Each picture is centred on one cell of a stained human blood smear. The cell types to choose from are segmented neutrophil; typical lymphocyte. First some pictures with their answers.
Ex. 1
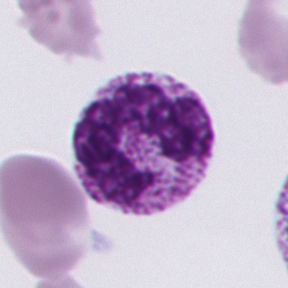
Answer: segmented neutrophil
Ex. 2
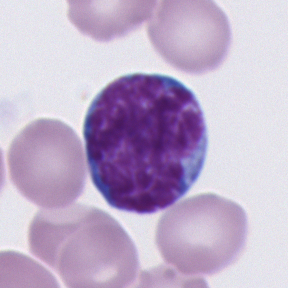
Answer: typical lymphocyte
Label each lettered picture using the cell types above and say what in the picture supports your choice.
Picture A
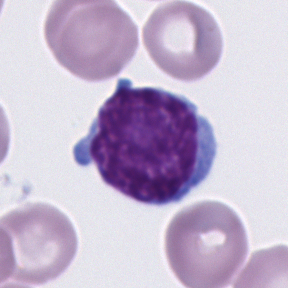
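typical lymphocyte: The cytoplasm shows mainly as a thin crescent on the right side.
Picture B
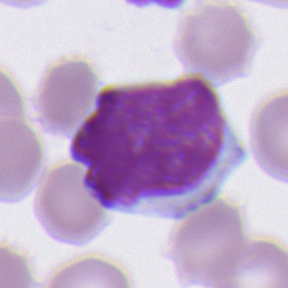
typical lymphocyte: The cytoplasm is a scant rim, seen mainly along the lower right side of the nucleus.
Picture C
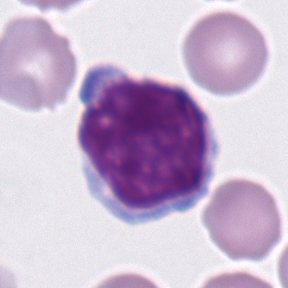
typical lymphocyte: The cytoplasm forms a narrow pale blue rim around the nucleus.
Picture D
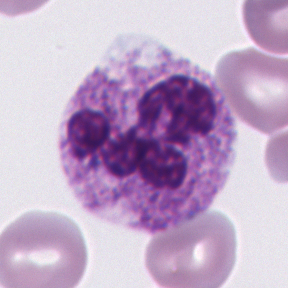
segmented neutrophil: The nucleus is split into four or more separate lobes.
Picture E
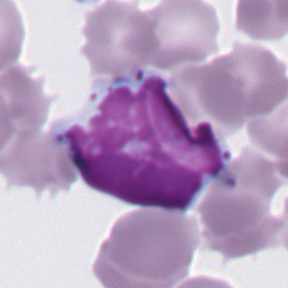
typical lymphocyte: The nucleus fills almost the whole cell.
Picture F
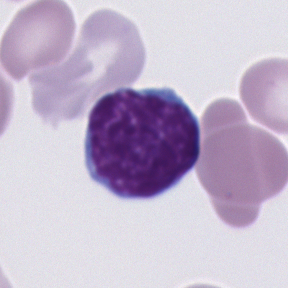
typical lymphocyte: The cytoplasm is a thin blue rim around the nucleus.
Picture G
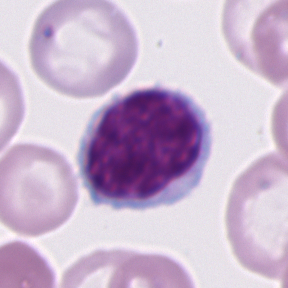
typical lymphocyte: The cytoplasm forms only a thin rim around the nucleus.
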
